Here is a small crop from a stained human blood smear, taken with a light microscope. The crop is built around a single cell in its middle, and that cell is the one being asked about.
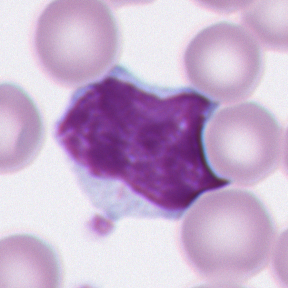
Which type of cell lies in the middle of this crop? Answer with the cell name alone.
typical lymphocyte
